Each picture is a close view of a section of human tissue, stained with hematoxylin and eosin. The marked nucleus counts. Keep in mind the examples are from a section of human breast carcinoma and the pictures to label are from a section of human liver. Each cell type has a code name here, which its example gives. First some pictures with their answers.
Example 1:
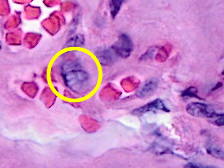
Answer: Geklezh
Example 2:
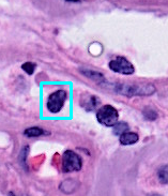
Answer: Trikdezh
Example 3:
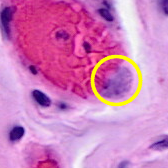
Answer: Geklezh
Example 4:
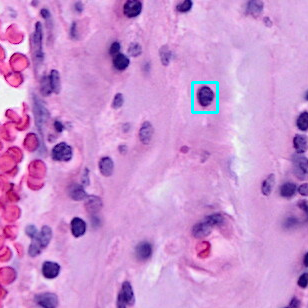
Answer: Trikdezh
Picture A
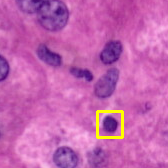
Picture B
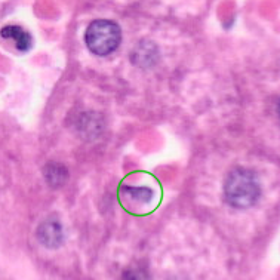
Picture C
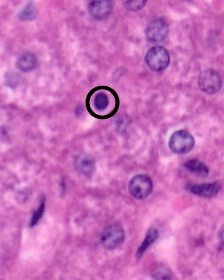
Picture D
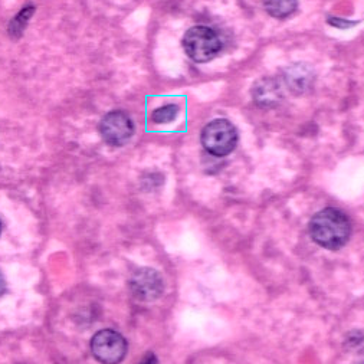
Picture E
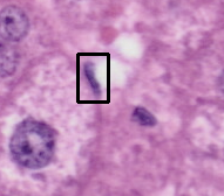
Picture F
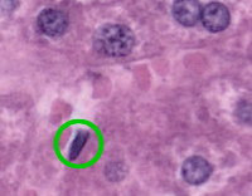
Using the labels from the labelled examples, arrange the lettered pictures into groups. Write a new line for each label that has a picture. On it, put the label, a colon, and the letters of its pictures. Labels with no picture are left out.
Geklezh: B, E, F
Trikdezh: A, C, D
